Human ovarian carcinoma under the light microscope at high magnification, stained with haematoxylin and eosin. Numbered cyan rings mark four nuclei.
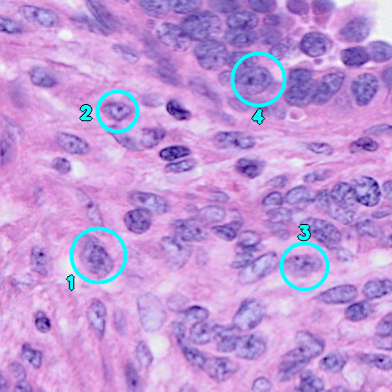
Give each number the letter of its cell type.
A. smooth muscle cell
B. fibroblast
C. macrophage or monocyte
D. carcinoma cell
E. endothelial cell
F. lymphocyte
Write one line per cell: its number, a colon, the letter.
1: B
2: B
3: B
4: D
